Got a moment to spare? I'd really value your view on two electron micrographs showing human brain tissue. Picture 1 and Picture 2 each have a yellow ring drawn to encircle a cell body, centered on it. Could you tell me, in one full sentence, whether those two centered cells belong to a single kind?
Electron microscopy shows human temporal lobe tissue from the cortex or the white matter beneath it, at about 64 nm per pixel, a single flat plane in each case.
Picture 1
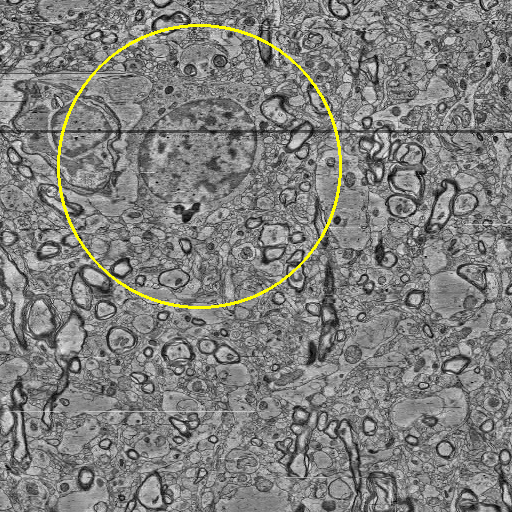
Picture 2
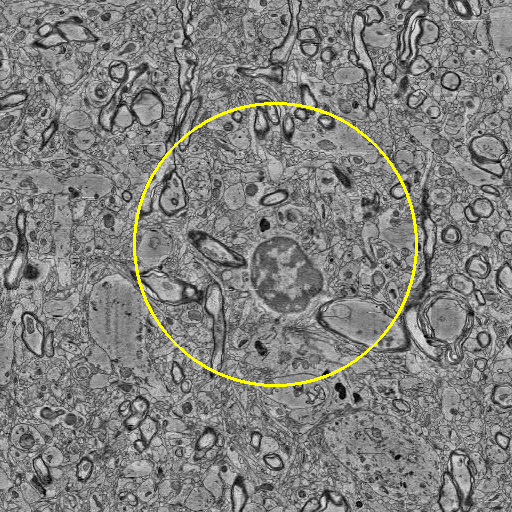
No, the two centered cells in Picture 1 and Picture 2 are of two kinds.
